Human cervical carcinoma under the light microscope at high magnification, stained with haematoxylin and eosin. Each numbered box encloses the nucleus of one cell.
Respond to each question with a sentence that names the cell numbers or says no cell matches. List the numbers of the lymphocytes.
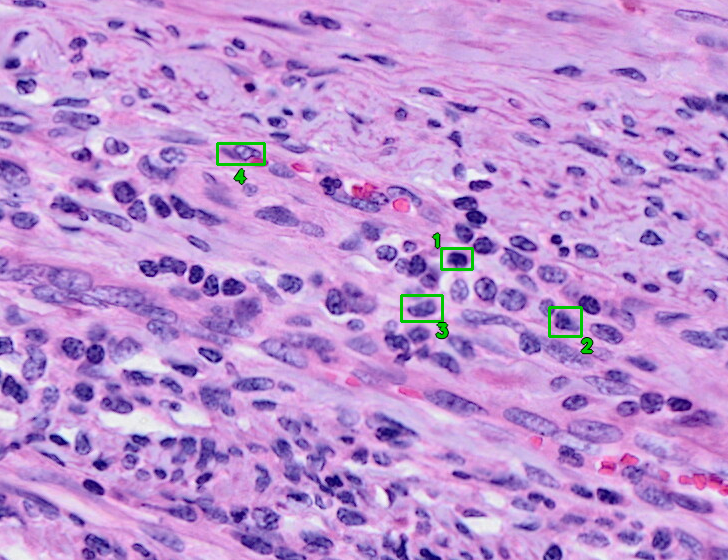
The cells given the numbers 1, 2 and 3 are lymphocytes.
